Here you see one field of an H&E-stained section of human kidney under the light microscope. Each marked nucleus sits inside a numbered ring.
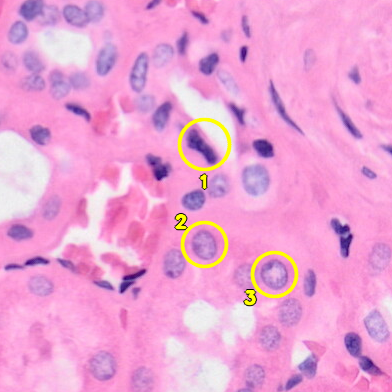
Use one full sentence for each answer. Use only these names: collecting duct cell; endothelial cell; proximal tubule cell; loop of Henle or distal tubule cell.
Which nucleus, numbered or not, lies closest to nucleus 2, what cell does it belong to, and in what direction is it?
A proximal tubule cell lies closest, below and to the left of nucleus 2.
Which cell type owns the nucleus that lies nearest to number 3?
The nucleus nearest to number 3 is that of a proximal tubule cell.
